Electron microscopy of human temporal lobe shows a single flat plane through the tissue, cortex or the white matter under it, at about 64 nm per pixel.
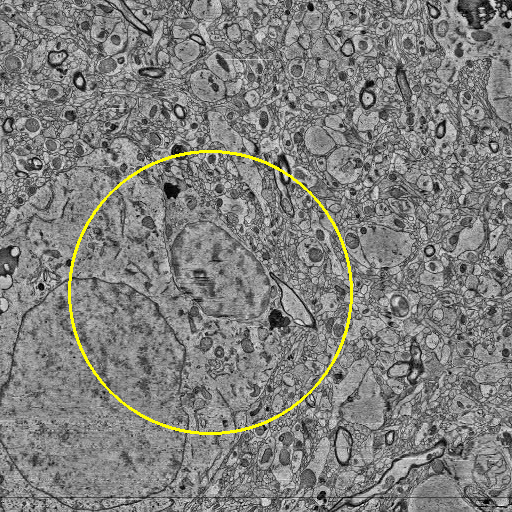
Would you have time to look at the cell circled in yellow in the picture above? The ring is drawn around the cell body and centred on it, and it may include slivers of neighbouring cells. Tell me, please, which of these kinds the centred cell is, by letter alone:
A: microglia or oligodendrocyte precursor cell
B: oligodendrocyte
B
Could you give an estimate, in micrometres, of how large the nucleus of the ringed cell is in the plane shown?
Approximately 7 x 5 micrometres in this plane.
